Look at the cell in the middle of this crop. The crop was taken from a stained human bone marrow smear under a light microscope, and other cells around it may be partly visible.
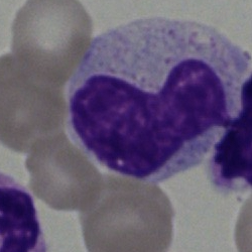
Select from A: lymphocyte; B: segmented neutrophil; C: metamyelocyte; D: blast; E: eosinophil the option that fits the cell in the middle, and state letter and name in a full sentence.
Option C gets it right: the cell in the middle is a metamyelocyte.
